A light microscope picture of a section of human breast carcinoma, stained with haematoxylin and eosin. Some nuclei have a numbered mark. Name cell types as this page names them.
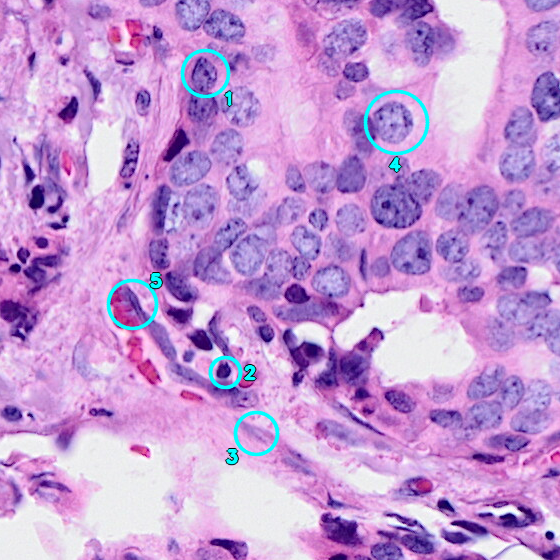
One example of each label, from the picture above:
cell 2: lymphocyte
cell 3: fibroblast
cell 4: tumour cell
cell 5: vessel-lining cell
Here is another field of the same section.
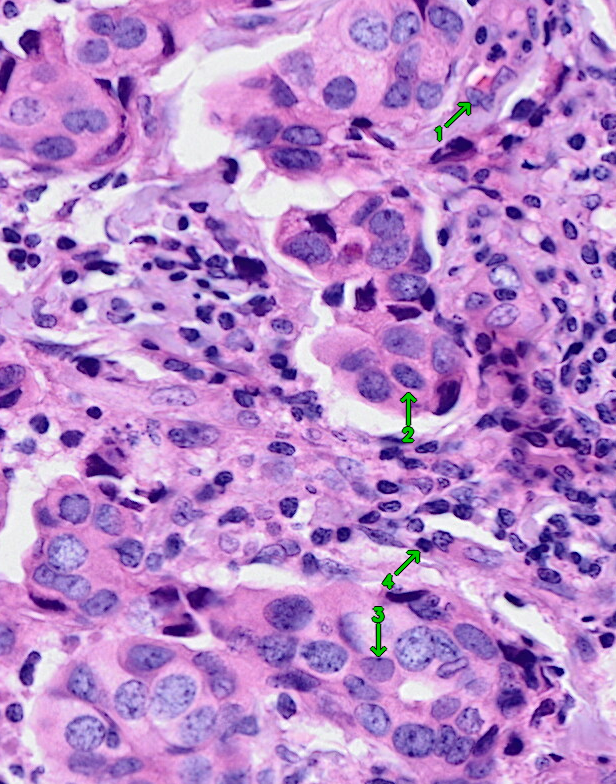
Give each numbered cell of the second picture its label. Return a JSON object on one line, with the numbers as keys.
{"1": "vessel-lining cell", "2": "tumour cell", "3": "tumour cell", "4": "lymphocyte"}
